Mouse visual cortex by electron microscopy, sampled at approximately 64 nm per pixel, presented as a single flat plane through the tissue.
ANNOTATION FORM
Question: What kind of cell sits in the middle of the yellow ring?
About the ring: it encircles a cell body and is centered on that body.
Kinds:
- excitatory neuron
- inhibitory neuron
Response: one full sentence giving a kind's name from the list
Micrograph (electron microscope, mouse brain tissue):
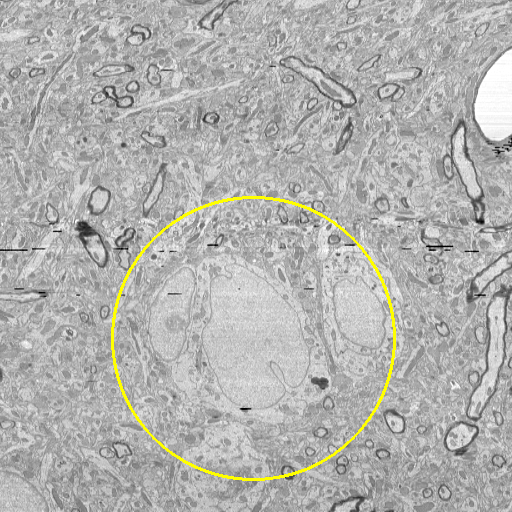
The kind of cell found at the center of the yellow ring in the micrograph is an excitatory neuron.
